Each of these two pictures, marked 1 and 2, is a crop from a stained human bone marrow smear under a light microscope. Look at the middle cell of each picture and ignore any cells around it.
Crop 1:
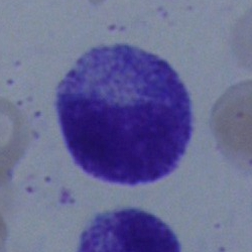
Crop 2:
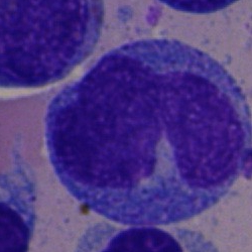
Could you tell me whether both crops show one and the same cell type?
no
